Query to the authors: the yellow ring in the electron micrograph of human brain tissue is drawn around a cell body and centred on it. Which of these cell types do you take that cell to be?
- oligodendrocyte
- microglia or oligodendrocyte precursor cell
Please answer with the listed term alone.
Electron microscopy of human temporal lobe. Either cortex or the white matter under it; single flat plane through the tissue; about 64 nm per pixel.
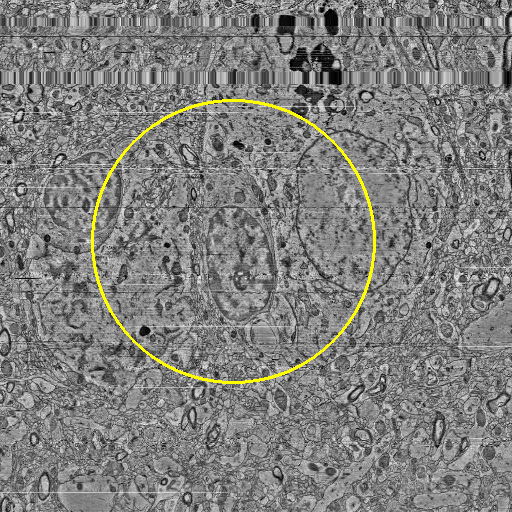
oligodendrocyte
